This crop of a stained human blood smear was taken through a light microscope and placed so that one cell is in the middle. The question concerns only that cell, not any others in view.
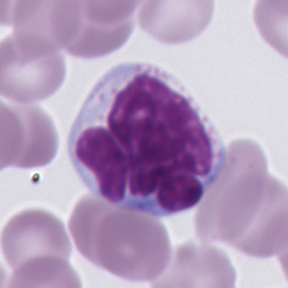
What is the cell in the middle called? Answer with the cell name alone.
large granular lymphocyte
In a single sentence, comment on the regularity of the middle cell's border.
There are no projections here; the outline is simply smooth.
